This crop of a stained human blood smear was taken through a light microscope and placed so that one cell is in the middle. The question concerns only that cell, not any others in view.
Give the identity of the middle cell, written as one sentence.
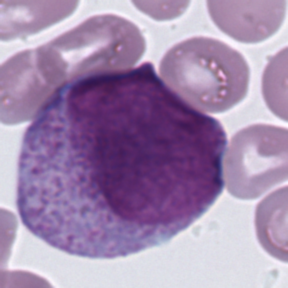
Standing at the centre of this crop is a promyelocyte.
